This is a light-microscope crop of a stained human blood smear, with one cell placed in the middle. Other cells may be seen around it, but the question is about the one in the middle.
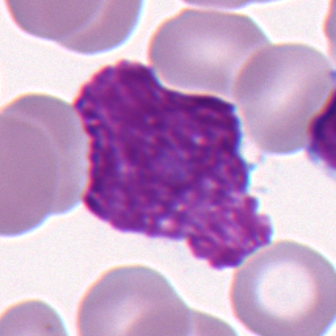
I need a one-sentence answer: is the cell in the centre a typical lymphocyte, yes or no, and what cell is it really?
No, the central cell in this crop is a smudge cell and not a typical lymphocyte.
